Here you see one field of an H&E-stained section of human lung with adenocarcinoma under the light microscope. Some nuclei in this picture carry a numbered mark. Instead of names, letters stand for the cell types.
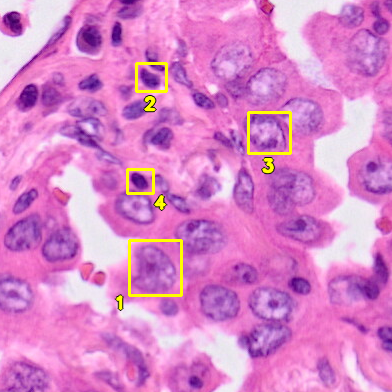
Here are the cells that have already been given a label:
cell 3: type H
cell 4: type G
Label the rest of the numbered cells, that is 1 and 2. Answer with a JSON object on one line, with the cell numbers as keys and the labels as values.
{"1": "type H", "2": "type G"}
